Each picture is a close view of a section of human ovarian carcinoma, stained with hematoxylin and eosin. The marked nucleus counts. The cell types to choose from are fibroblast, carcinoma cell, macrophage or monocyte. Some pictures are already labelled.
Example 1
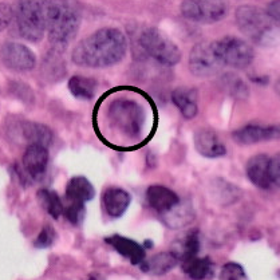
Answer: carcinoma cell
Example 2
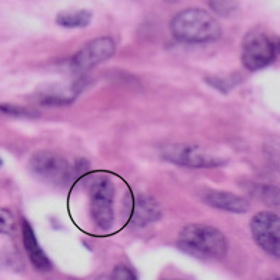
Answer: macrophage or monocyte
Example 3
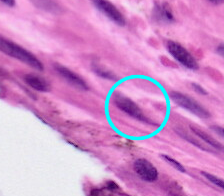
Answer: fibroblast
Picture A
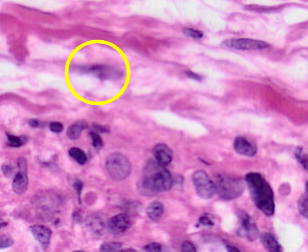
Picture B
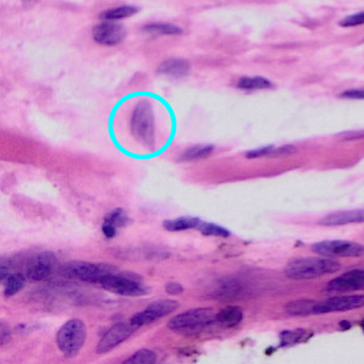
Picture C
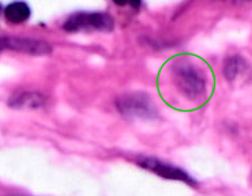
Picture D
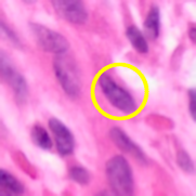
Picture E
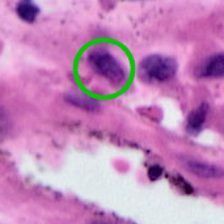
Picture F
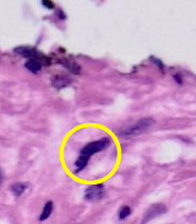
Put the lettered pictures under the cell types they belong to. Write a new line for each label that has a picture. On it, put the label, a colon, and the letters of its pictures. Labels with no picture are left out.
fibroblast: A, B, C, D, E, F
